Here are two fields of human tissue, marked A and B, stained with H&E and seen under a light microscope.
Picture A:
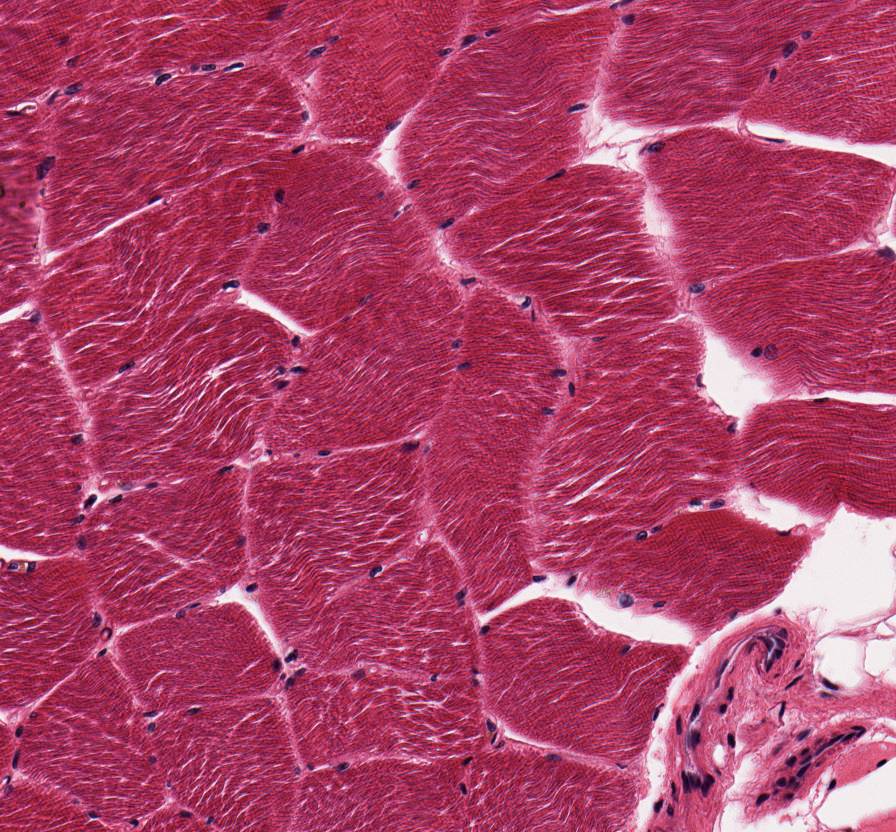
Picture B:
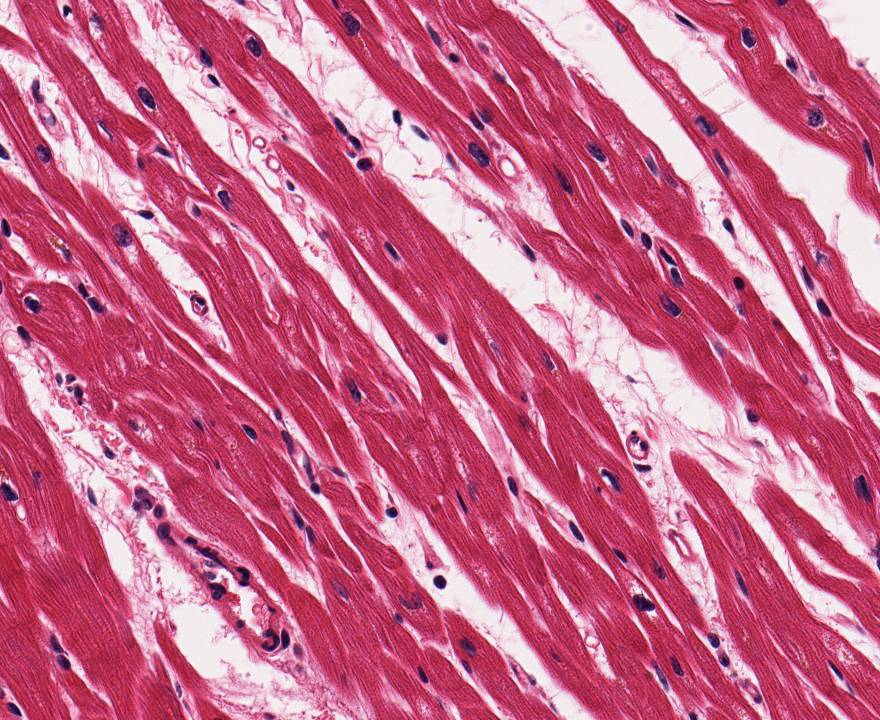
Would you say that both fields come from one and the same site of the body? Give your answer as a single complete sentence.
No. Picture A comes from skeletal muscle, whereas picture B comes from the left ventricle of the heart.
